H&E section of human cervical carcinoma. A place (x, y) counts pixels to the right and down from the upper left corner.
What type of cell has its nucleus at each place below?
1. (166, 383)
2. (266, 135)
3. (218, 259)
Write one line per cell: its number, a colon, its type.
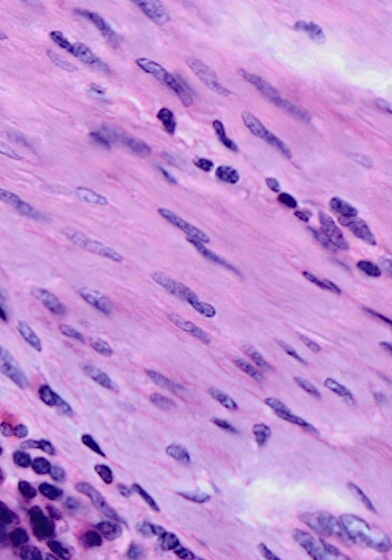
1: smooth muscle cell
2: fibroblast
3: fibroblast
